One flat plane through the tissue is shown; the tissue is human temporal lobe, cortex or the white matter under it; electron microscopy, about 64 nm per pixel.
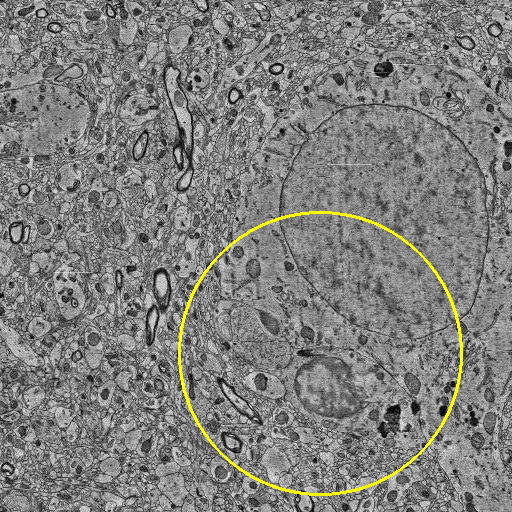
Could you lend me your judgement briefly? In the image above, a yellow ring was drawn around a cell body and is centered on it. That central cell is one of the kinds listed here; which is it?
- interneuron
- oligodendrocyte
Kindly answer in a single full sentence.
Going by the list, an oligodendrocyte is the kind at the ring's center in the picture.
